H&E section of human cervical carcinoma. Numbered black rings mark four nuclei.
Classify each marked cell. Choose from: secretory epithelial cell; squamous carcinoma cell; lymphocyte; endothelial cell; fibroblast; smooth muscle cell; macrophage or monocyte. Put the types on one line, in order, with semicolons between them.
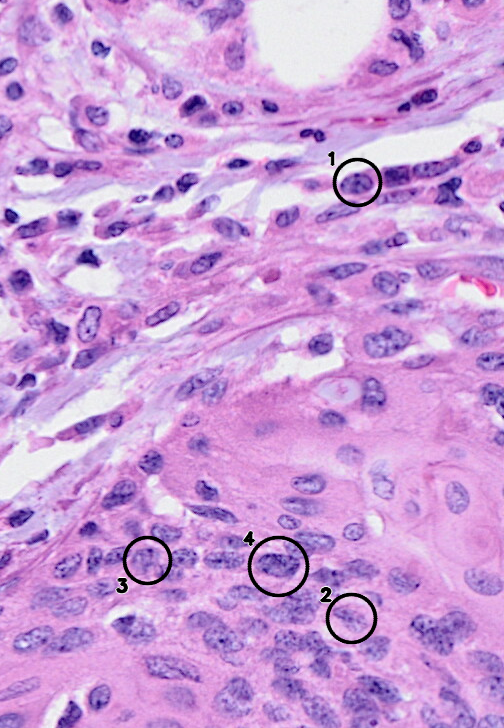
macrophage or monocyte; squamous carcinoma cell; squamous carcinoma cell; squamous carcinoma cell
